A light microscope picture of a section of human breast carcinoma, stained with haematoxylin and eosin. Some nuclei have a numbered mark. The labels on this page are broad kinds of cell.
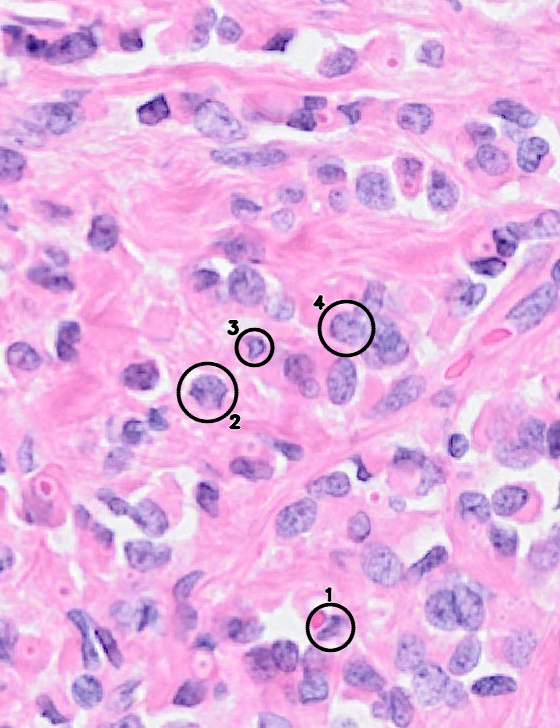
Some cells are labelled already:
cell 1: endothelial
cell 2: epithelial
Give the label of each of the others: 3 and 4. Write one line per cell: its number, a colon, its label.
3: endothelial
4: epithelial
